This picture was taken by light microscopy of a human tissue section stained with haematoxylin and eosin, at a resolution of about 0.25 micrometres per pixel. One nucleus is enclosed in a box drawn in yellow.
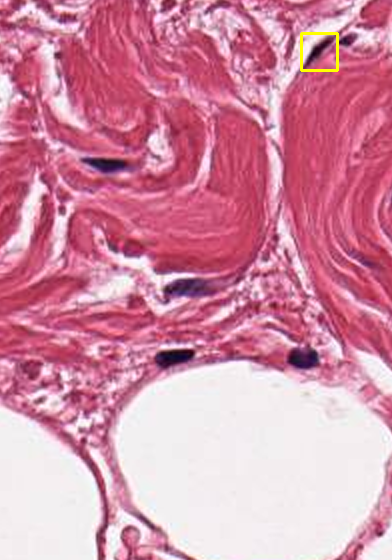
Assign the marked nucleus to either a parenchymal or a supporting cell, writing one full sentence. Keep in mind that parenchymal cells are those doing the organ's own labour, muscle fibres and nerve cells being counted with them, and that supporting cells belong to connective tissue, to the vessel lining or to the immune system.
The marked nucleus is identified as belonging to a supporting cell.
